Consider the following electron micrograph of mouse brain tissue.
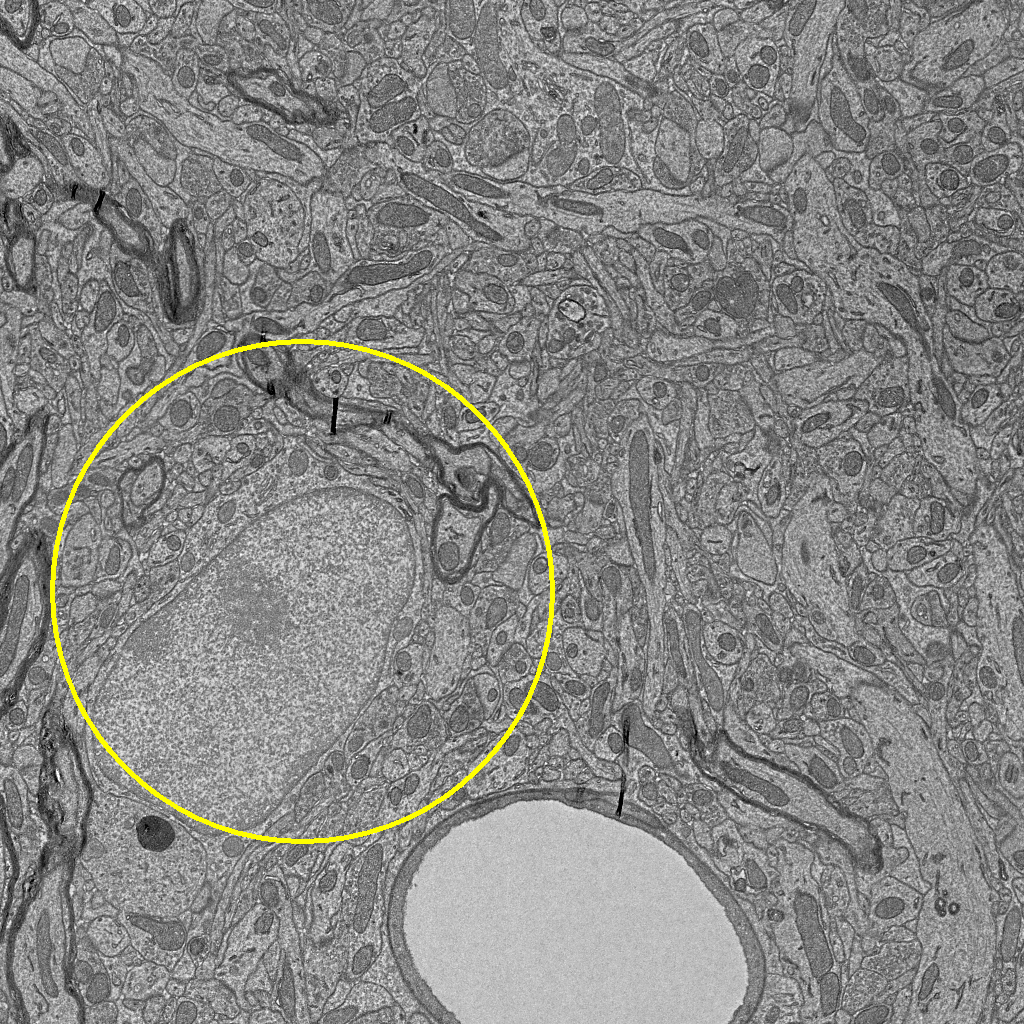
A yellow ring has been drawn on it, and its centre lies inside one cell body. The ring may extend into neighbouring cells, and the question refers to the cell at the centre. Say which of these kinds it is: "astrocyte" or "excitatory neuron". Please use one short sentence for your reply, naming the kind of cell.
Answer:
The centre of the ring falls on an astrocyte.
